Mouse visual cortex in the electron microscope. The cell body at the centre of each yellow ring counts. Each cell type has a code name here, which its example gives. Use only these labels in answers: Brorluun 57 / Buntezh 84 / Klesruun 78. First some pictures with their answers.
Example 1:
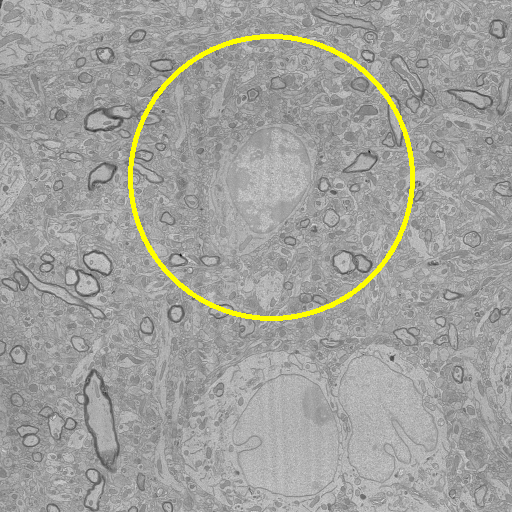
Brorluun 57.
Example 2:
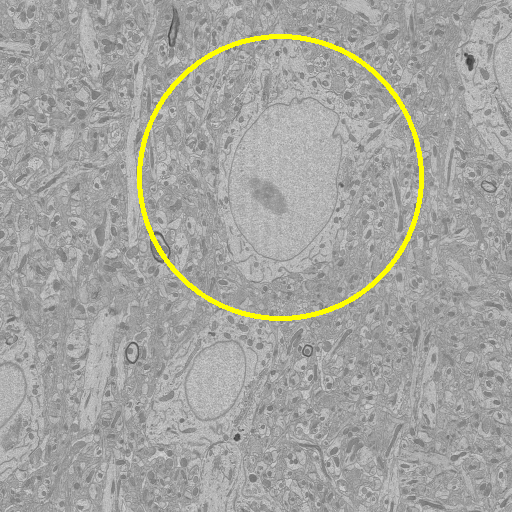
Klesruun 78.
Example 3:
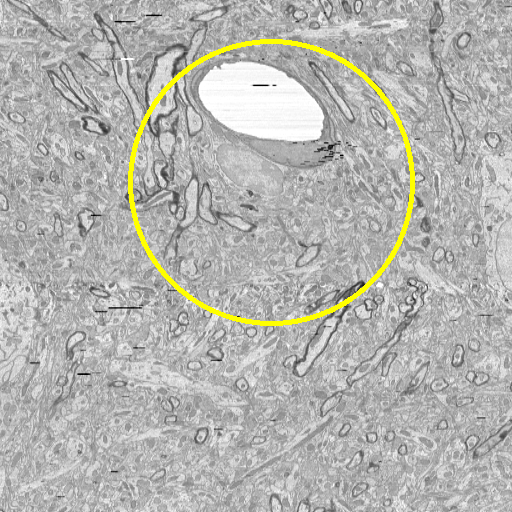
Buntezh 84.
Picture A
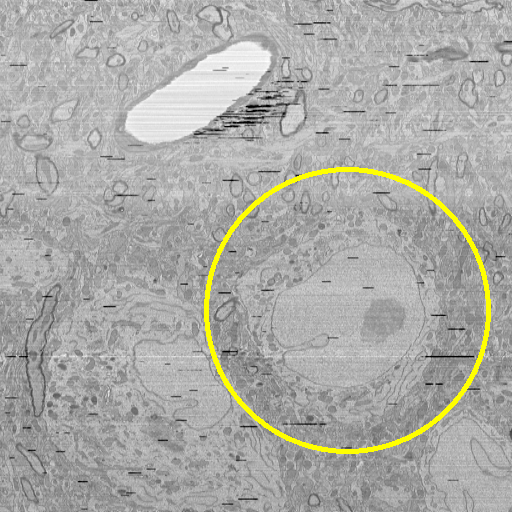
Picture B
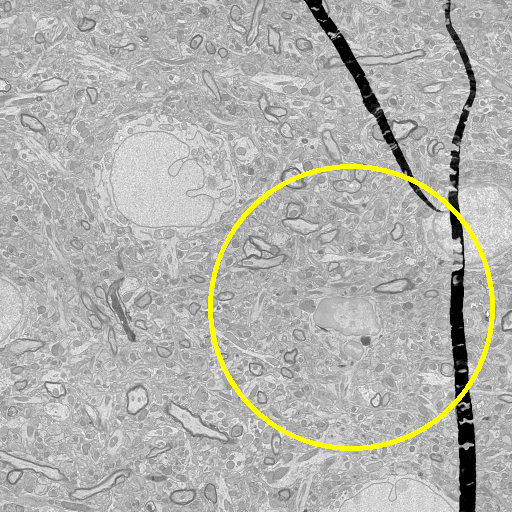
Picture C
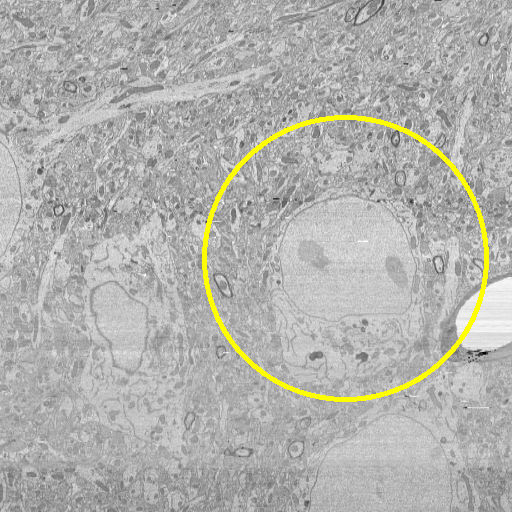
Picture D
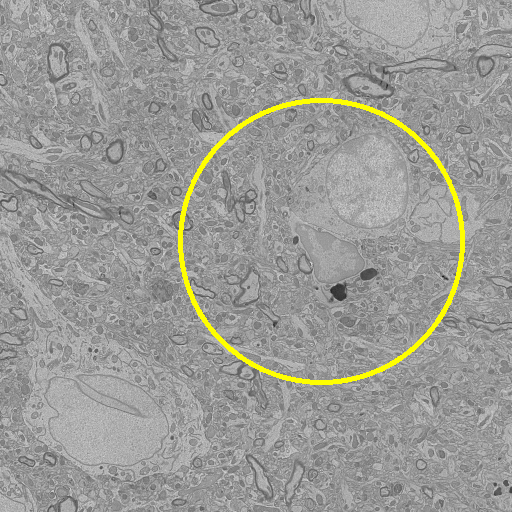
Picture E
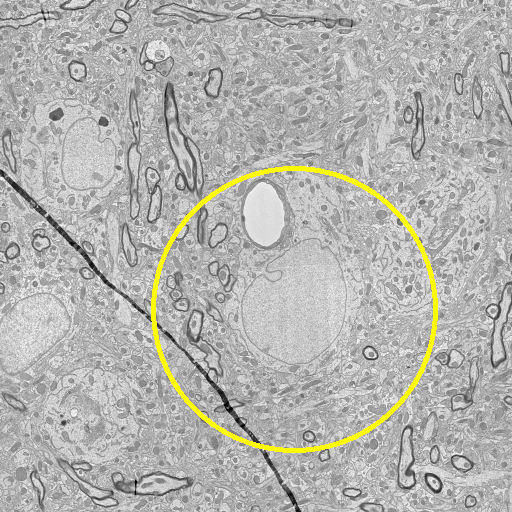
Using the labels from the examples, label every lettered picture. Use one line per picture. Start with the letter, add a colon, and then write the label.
A: Klesruun 78.
B: Buntezh 84.
C: Klesruun 78.
D: Buntezh 84.
E: Klesruun 78.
